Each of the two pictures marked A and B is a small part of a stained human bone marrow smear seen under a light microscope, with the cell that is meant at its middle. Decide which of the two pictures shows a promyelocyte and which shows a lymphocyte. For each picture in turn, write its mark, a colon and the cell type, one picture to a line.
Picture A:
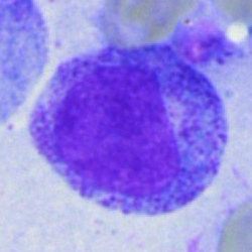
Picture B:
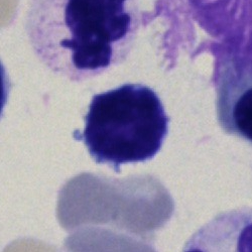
A: promyelocyte
B: lymphocyte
